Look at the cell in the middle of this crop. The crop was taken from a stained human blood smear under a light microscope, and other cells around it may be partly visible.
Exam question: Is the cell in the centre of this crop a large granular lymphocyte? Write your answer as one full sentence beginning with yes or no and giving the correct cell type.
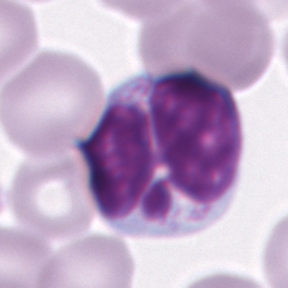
Yes, this crop has a large granular lymphocyte at its centre.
